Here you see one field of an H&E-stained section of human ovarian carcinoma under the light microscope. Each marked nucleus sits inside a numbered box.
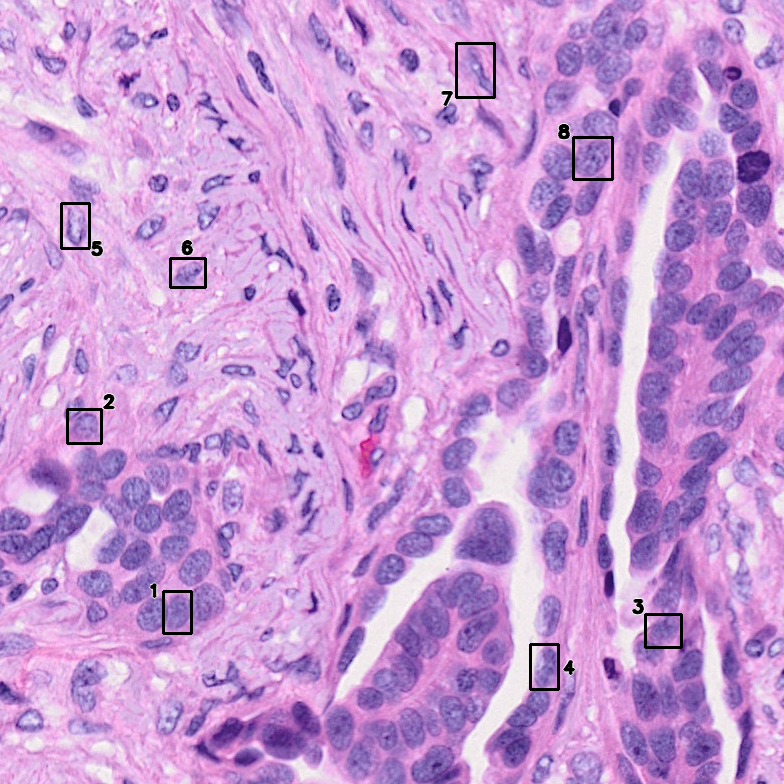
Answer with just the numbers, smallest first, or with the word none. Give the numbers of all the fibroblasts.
2, 5, 6, 7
